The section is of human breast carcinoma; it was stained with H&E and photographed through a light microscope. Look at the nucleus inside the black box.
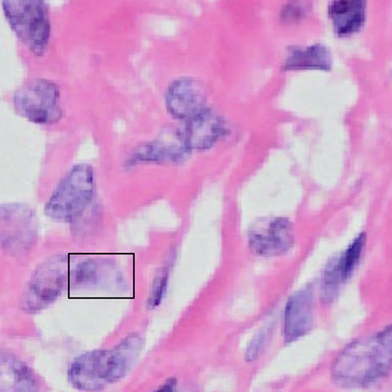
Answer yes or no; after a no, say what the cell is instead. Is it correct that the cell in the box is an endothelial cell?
No, it is a carcinoma cell.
